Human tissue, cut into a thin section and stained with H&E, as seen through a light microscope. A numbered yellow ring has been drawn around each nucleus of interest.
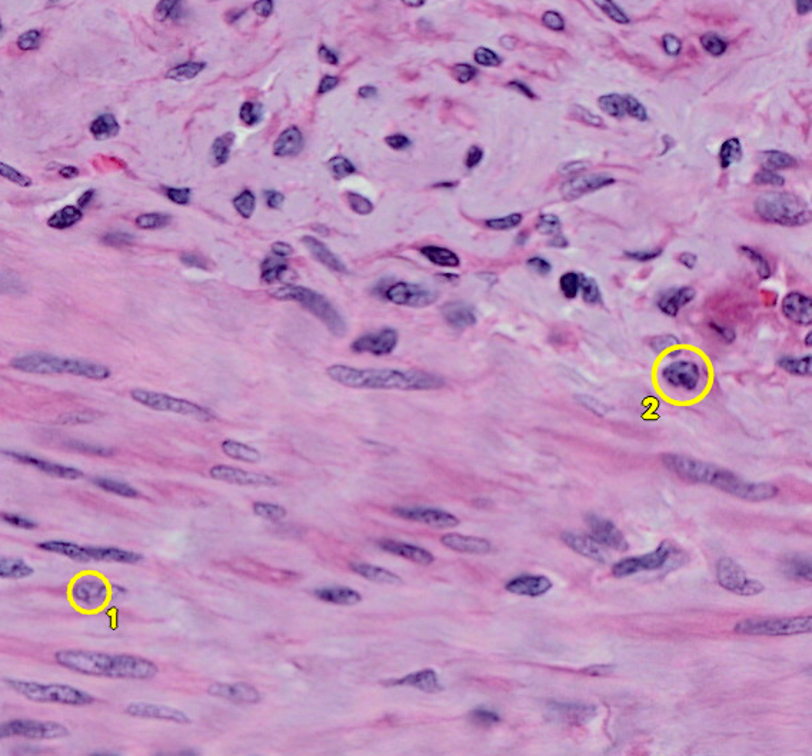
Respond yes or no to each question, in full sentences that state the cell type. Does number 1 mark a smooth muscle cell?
Yes, the cell sitting at number 1 is a smooth muscle cell.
